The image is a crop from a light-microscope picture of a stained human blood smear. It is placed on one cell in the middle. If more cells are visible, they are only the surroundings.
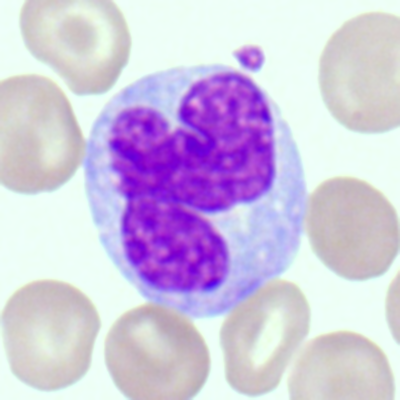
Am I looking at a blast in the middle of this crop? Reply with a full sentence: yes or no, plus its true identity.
No, the cell at the centre is identified as a monocyte, not as a blast.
